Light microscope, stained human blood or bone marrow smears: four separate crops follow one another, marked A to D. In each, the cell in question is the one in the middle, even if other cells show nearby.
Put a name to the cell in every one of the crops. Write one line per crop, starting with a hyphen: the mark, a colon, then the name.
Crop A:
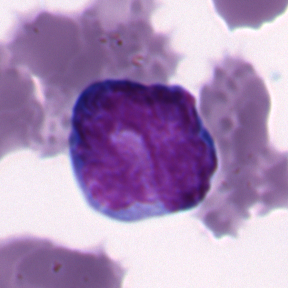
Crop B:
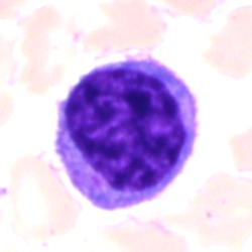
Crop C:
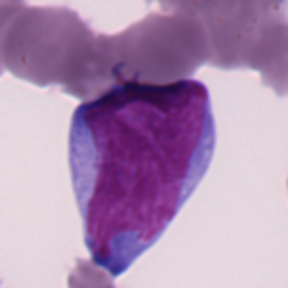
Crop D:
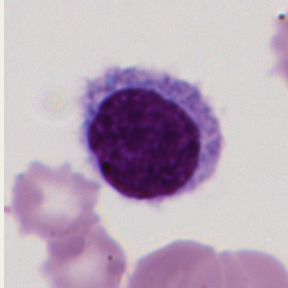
- A: blast
- B: plasma cell
- C: blast
- D: hairy cell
